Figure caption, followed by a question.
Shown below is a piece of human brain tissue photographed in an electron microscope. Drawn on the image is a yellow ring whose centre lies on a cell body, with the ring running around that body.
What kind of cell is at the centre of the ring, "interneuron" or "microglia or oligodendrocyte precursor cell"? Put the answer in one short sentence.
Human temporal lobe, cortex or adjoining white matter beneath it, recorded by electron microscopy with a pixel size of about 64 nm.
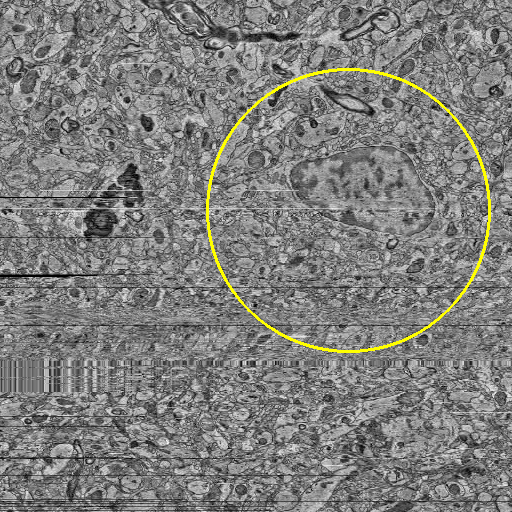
The ring marks the cell body of a microglial cell or oligodendrocyte precursor cell.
